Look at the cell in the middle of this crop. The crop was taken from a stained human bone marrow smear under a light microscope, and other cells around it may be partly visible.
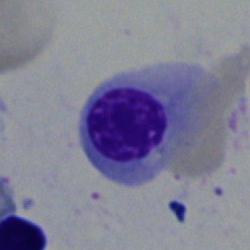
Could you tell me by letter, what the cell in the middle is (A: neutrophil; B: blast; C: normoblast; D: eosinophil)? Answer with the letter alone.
C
